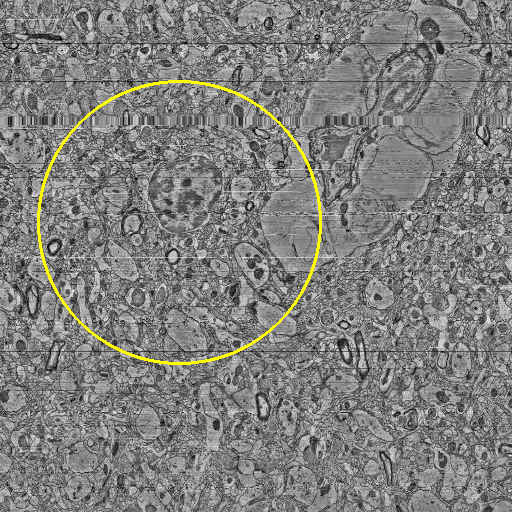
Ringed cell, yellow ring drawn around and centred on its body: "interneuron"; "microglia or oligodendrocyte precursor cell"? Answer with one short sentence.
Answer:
This ringed cell is a microglial cell or oligodendrocyte precursor cell.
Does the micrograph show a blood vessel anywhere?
Yes, one appears.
